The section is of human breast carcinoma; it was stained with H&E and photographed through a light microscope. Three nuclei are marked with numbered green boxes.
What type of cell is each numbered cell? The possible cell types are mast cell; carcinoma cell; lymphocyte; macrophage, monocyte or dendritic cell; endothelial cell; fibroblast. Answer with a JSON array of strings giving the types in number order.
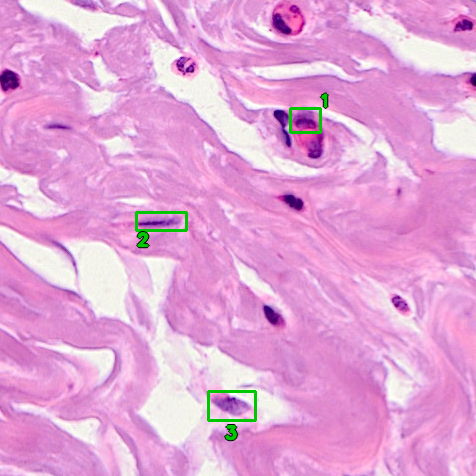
["endothelial cell", "fibroblast", "fibroblast"]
